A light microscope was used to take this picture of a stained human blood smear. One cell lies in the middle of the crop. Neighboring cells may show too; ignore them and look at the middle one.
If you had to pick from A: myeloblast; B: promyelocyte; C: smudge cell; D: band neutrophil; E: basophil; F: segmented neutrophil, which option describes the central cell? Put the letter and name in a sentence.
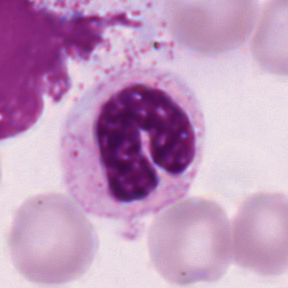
The cell at the centre is a band neutrophil, and option D accordingly is correct.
